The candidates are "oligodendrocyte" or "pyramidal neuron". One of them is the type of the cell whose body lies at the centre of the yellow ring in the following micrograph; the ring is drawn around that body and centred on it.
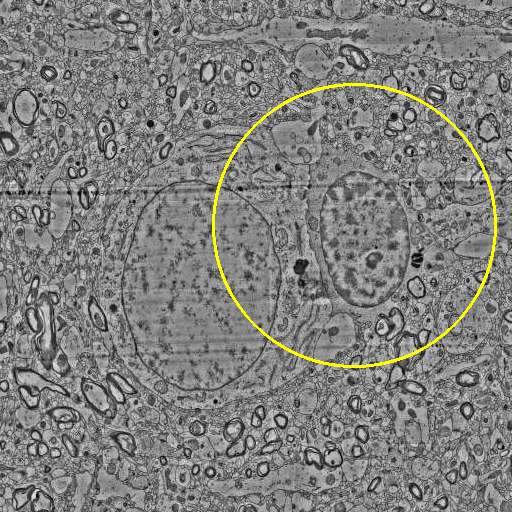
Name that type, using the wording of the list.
oligodendrocyte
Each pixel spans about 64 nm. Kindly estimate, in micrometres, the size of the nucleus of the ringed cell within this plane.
The nucleus is approximately 9 micrometres long but only about 6 wide, clearly longer than it is wide in this plane.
